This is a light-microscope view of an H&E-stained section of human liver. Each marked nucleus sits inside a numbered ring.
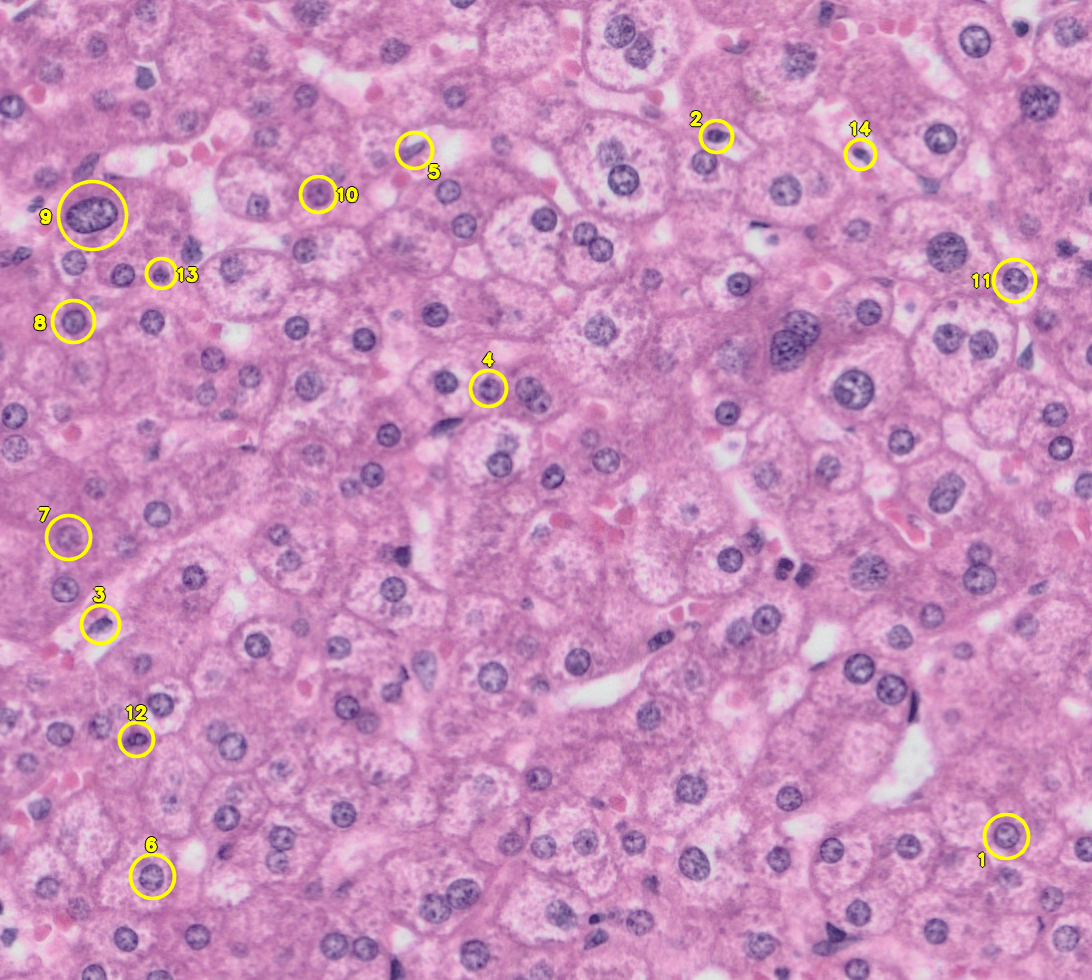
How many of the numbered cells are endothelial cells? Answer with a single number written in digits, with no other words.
1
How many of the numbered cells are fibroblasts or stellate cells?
1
